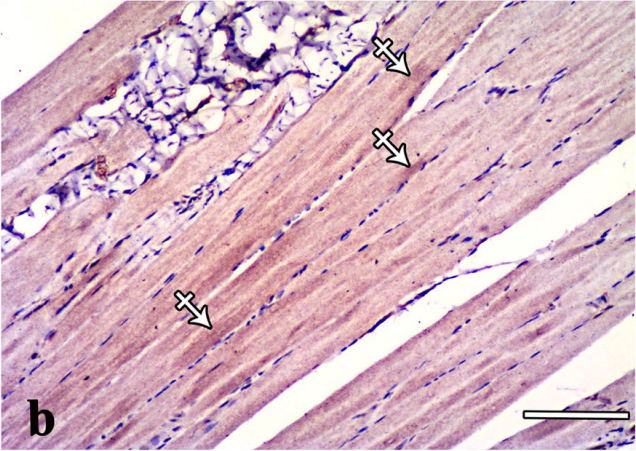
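This is muscle cut along its length, with long parallel muscle fibers running diagonally across the field. The cytoplasm of the fibers is tinged light brown, and faint lengthwise streaks run through it. Slender, flattened dark blue nuclei lie along the edges of the fibers, and narrow clear clefts separate some of the fibers. In the upper left corner lies loose tissue with many empty, rounded spaces between the fiber bundles.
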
